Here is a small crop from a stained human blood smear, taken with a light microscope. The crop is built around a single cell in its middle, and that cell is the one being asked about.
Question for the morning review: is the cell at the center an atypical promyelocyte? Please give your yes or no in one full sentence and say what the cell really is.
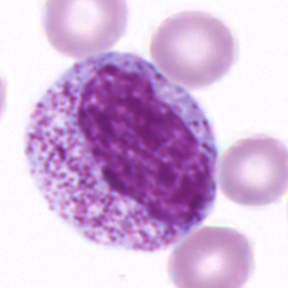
No, what sits in the centre of the crop is a myelocyte rather than an atypical promyelocyte.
